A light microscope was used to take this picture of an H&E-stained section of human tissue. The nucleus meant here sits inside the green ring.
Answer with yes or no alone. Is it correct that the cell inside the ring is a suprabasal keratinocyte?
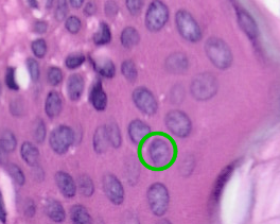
yes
